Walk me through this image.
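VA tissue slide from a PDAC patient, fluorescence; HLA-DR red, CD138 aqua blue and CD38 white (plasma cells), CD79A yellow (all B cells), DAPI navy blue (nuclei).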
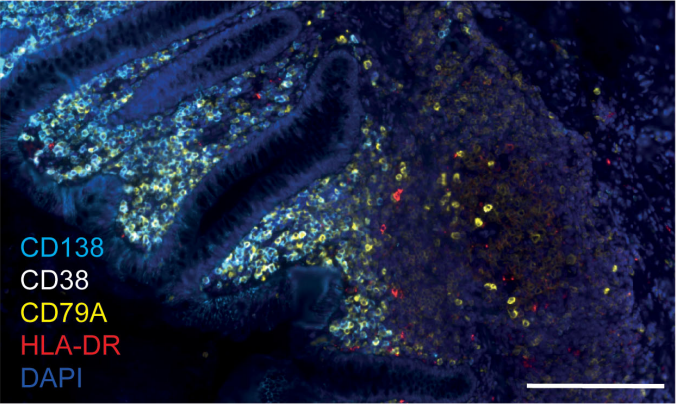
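This fluorescence image shows appendix mucosa, with elongated folds lined by a dark-blue epithelium on the left. Red-marked cells are sparse here, appearing only as a few isolated dots, mostly in the right half.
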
